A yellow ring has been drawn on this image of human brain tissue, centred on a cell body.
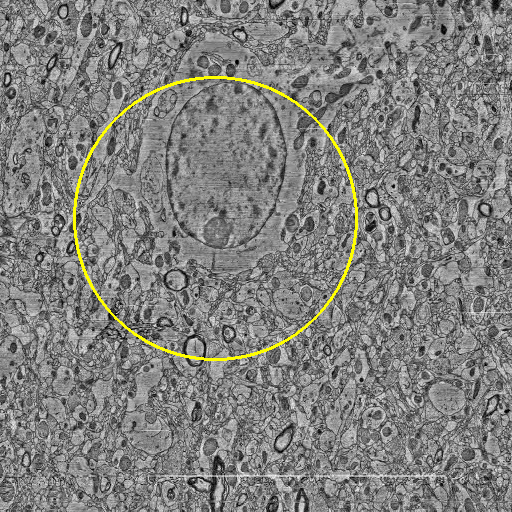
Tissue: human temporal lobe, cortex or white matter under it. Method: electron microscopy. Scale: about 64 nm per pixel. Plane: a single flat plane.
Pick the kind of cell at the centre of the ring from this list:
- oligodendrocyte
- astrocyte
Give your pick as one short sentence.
The centre of the ring holds an astrocyte.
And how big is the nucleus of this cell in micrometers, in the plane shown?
About 11 by 8 micrometers for the nucleus, in this plane.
